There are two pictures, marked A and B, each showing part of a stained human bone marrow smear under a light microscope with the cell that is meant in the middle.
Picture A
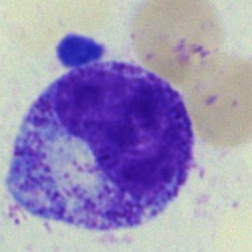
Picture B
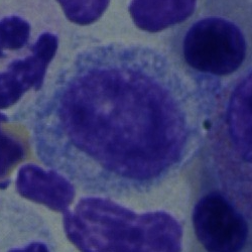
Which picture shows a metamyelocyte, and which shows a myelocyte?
A: metamyelocyte
B: myelocyte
